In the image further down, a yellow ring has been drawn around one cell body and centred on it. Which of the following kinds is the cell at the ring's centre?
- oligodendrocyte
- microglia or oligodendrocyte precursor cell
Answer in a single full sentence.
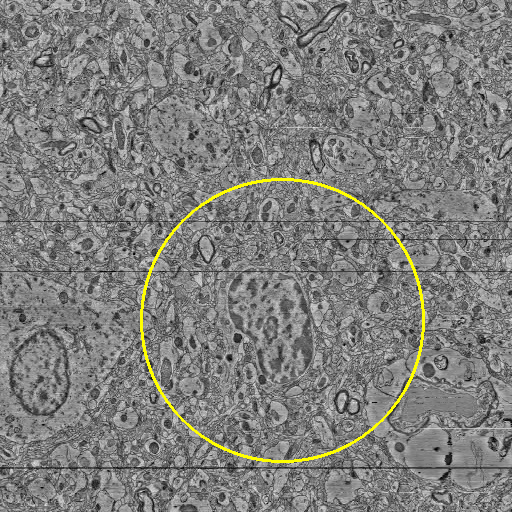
In the picture, the cell sitting at the centre of the yellow ring is a microglial cell or oligodendrocyte precursor cell.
